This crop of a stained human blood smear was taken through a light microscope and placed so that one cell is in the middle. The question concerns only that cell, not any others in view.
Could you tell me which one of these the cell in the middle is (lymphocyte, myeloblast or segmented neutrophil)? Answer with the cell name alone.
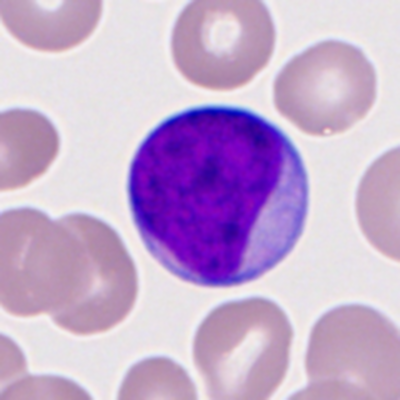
myeloblast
